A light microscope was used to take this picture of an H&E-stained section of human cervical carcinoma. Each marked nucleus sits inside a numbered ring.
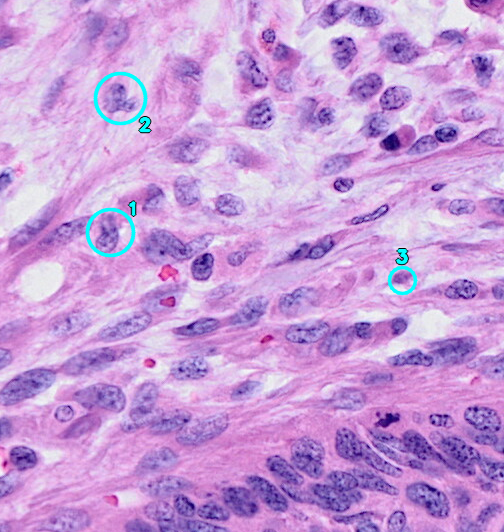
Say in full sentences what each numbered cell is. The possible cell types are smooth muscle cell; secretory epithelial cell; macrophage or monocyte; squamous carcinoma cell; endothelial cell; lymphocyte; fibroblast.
Cell 1 is a macrophage or monocyte, cell 2 is a macrophage or monocyte and cell 3 is a fibroblast.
